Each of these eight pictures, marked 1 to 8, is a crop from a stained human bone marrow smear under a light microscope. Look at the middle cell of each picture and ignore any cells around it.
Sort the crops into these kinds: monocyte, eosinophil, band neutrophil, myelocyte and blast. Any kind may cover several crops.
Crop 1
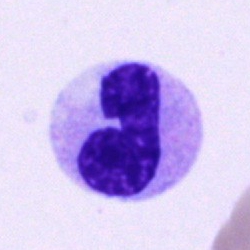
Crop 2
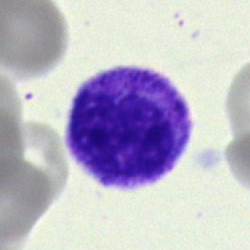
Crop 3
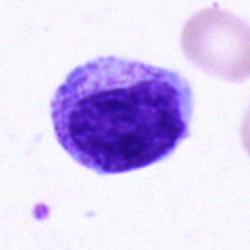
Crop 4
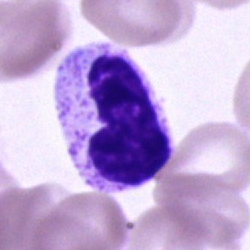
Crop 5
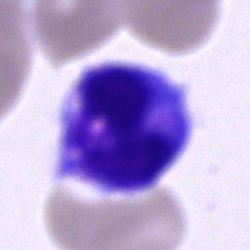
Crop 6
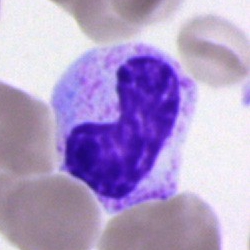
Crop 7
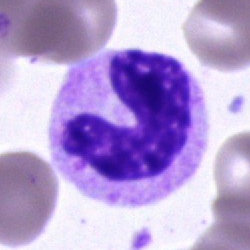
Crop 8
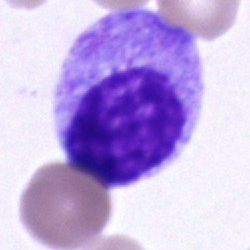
1: band neutrophil
2: myelocyte
3: myelocyte
4: band neutrophil
5: monocyte
6: band neutrophil
7: band neutrophil
8: myelocyte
